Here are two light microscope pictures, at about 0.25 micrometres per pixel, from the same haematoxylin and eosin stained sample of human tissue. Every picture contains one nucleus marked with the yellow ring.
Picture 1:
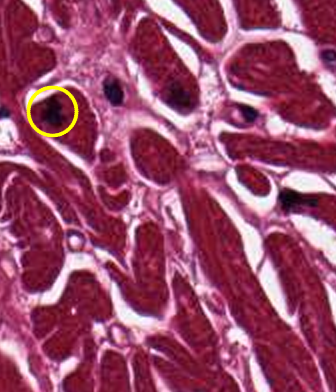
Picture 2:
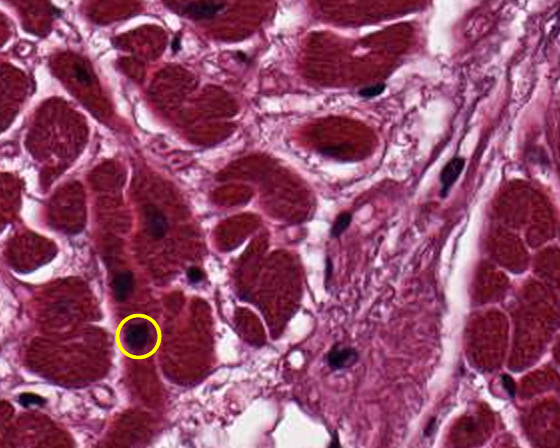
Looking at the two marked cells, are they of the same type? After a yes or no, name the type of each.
Yes, both are cardiomyocytes.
